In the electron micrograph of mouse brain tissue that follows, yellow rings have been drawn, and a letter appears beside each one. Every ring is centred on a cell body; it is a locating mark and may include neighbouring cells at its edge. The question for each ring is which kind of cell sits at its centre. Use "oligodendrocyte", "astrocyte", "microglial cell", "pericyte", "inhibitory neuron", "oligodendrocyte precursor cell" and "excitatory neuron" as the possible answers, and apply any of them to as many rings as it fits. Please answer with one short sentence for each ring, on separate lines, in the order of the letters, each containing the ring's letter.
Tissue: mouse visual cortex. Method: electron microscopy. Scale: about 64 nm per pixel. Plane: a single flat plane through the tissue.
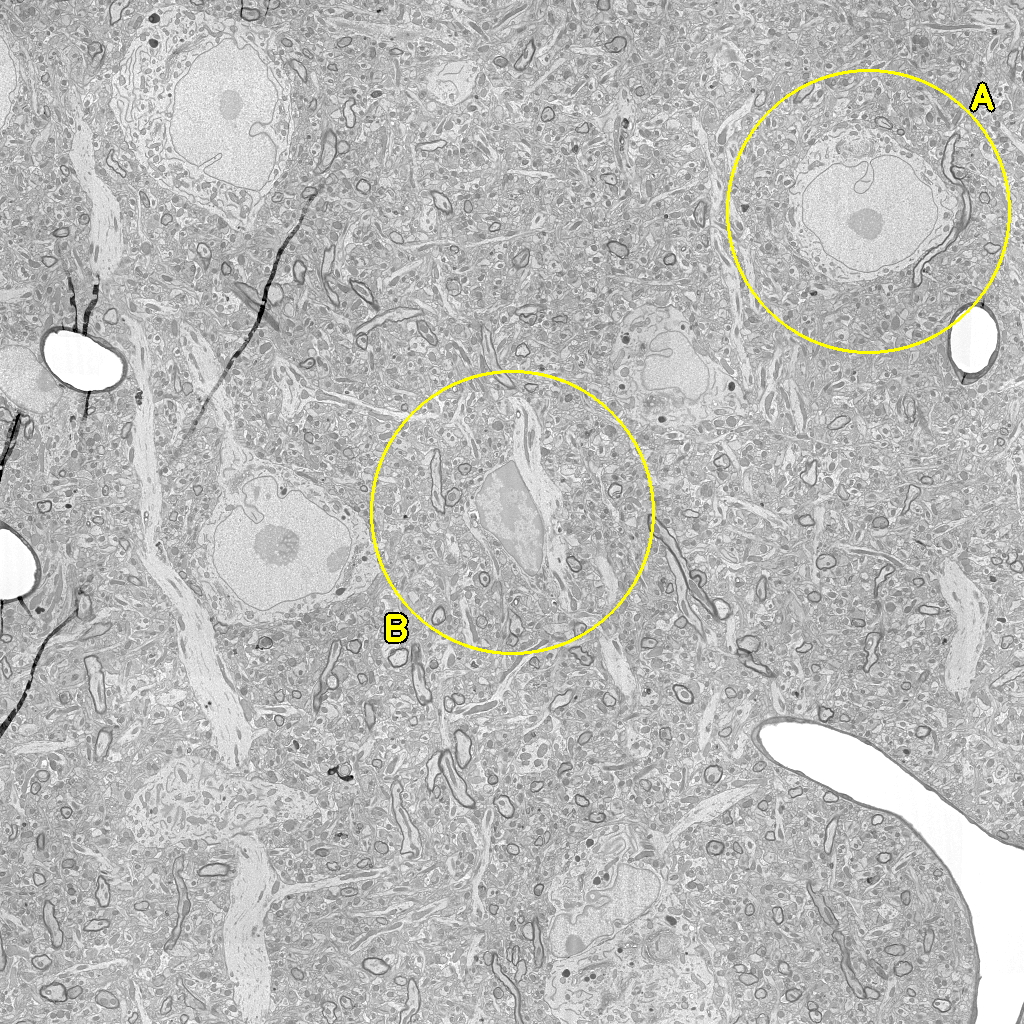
Sitting at the centre of ring A is an excitatory neuron.
Sitting at the centre of ring B is a microglial cell.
